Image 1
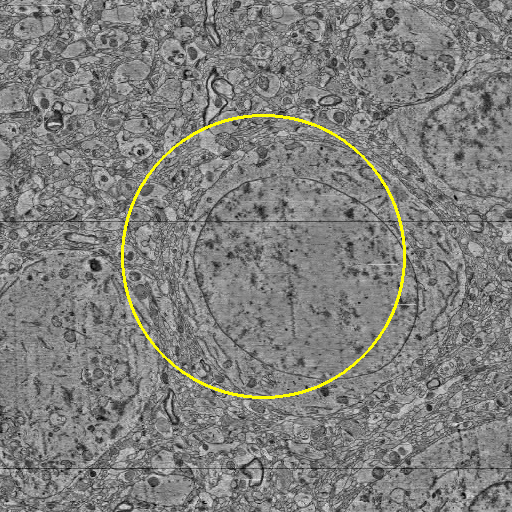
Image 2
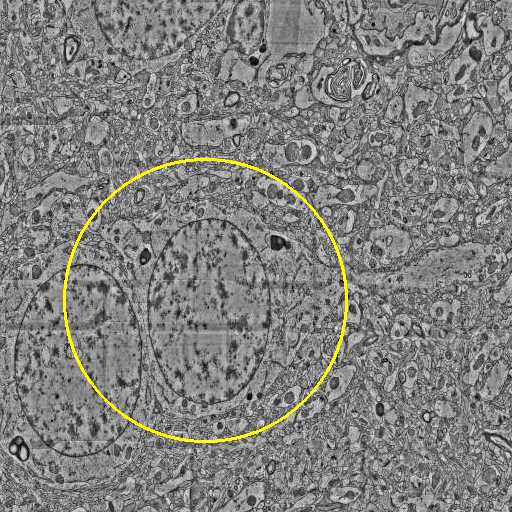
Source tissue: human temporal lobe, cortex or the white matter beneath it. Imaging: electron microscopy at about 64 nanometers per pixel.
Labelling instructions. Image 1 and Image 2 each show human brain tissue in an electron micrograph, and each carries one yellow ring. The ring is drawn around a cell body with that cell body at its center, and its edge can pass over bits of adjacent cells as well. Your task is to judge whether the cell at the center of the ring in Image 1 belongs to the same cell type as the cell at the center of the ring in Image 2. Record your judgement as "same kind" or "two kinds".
same kind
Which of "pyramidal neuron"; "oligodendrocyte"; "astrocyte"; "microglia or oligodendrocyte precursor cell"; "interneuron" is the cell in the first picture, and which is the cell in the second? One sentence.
Each cell, in the first picture and the second, is a pyramidal neuron.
